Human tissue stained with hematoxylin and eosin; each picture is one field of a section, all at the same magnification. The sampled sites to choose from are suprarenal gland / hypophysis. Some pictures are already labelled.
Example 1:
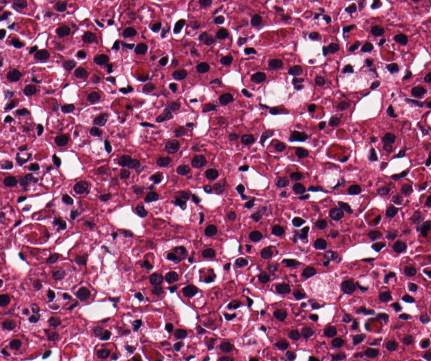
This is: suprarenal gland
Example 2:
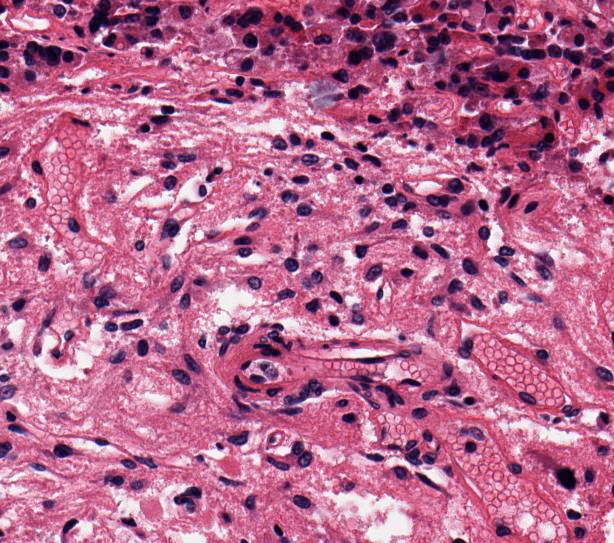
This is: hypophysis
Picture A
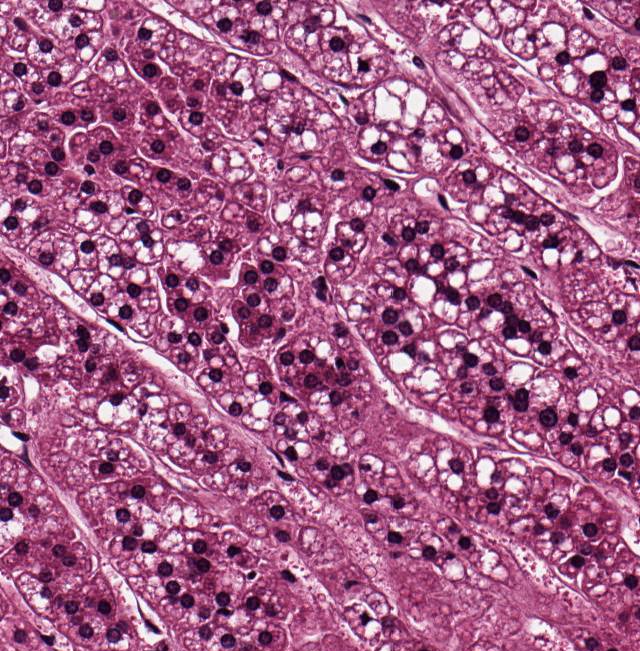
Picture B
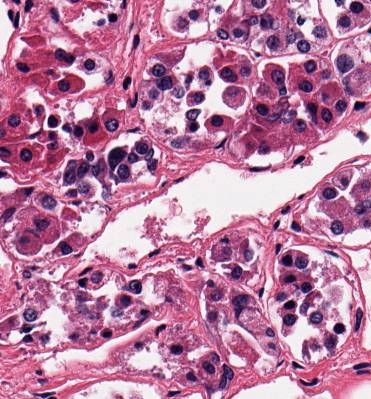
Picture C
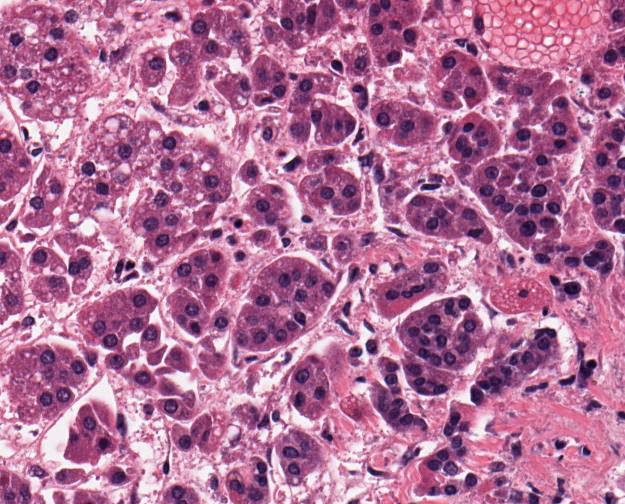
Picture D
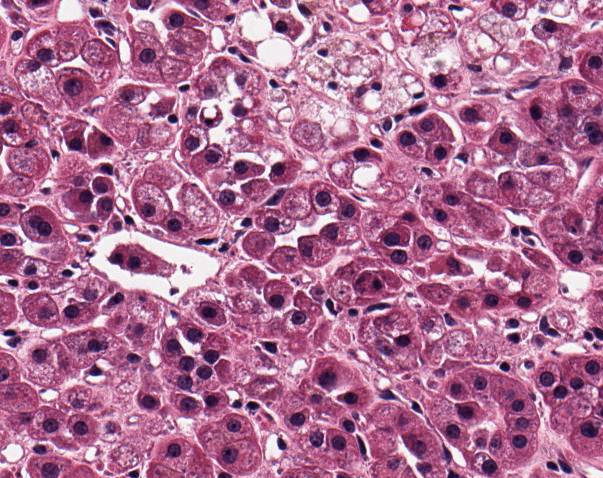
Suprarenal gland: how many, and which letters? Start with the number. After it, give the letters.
Count: 3 (A, C, D)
